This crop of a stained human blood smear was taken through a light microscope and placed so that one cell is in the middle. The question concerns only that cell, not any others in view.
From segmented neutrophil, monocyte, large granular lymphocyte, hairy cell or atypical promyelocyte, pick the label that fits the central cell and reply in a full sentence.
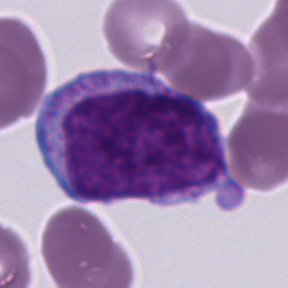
The target cell in the middle of the crop is an atypical promyelocyte.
